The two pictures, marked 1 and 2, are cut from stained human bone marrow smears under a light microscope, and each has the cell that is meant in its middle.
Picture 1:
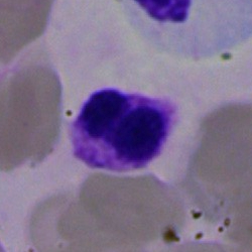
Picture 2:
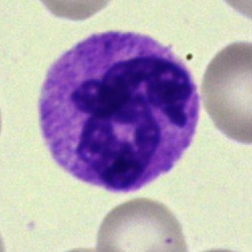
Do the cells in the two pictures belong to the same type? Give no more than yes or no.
no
